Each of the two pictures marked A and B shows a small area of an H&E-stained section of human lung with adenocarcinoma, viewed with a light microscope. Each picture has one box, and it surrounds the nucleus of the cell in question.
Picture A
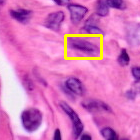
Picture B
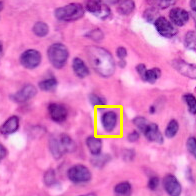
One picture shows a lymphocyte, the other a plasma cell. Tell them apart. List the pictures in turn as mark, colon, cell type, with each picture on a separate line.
A: plasma cell
B: lymphocyte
